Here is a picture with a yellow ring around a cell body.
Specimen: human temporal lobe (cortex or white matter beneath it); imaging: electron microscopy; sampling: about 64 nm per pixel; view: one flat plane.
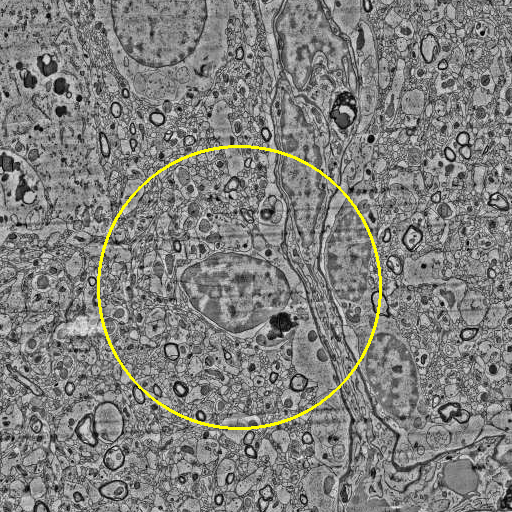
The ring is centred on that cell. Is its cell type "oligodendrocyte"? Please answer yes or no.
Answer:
no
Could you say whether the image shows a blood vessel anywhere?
Yes, a vessel appears in the picture.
